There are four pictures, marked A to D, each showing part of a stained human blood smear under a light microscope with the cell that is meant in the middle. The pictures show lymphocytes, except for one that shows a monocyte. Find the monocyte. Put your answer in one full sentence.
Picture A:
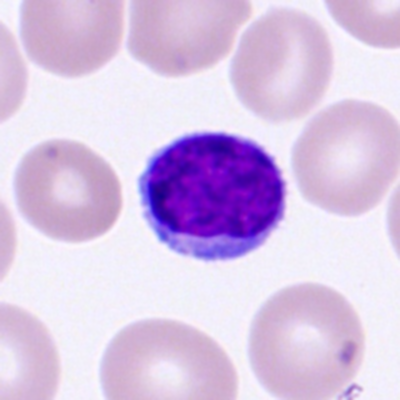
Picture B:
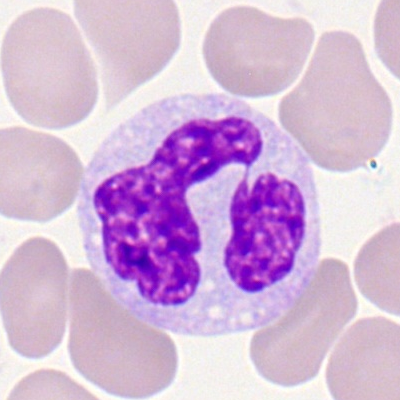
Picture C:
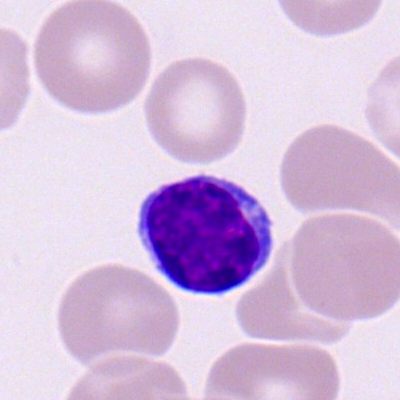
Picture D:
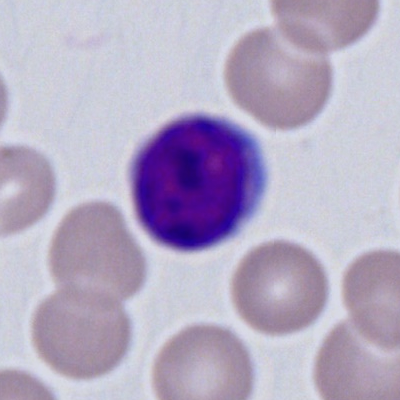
The cell in picture B is the monocyte.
